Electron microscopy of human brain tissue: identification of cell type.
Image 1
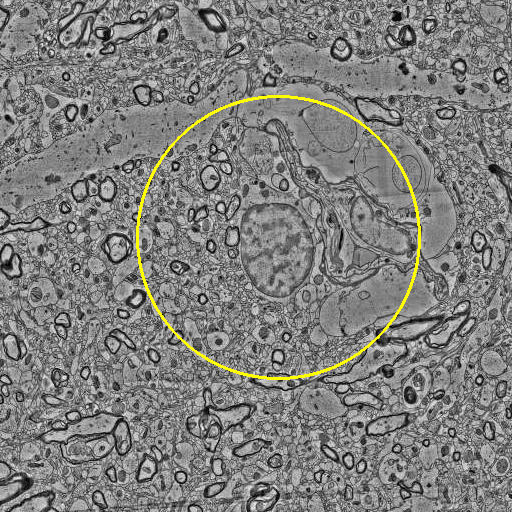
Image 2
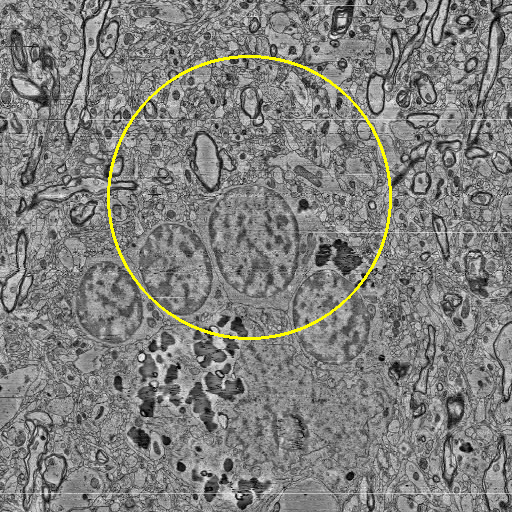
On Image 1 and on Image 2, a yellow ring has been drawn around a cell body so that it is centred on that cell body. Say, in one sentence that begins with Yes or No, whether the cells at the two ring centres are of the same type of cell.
Yes, both cells are the same type of cell.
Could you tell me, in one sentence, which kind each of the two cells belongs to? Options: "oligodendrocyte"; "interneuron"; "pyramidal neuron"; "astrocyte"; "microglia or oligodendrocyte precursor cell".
Each of the two rings is centred on an oligodendrocyte.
